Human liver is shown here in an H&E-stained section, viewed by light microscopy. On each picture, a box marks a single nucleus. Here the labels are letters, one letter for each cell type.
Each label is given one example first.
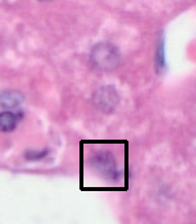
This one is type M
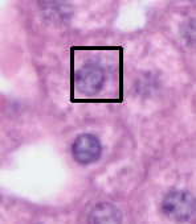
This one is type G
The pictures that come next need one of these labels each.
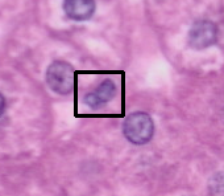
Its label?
type M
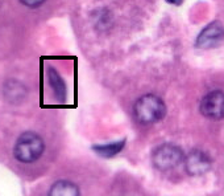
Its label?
type M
